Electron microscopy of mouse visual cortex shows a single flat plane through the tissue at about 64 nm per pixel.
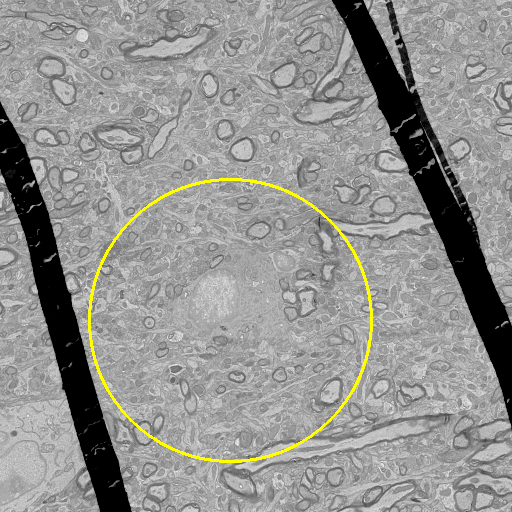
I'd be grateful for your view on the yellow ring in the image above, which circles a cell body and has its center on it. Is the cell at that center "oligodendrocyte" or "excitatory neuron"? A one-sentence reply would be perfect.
The cell at the center of the yellow ring is an oligodendrocyte.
